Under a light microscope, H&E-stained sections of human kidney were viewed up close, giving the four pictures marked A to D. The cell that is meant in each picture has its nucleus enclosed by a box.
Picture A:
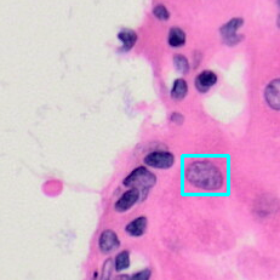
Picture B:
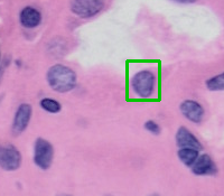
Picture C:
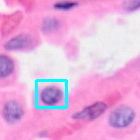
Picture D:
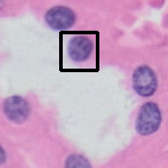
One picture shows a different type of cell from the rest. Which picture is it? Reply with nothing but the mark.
A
